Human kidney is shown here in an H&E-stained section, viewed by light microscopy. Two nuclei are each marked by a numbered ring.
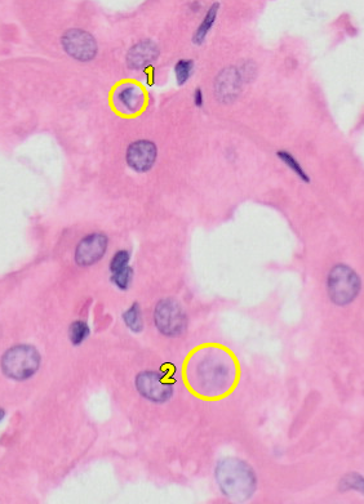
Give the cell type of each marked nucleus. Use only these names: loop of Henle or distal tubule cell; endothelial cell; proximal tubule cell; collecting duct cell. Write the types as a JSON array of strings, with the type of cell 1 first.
["endothelial cell", "proximal tubule cell"]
